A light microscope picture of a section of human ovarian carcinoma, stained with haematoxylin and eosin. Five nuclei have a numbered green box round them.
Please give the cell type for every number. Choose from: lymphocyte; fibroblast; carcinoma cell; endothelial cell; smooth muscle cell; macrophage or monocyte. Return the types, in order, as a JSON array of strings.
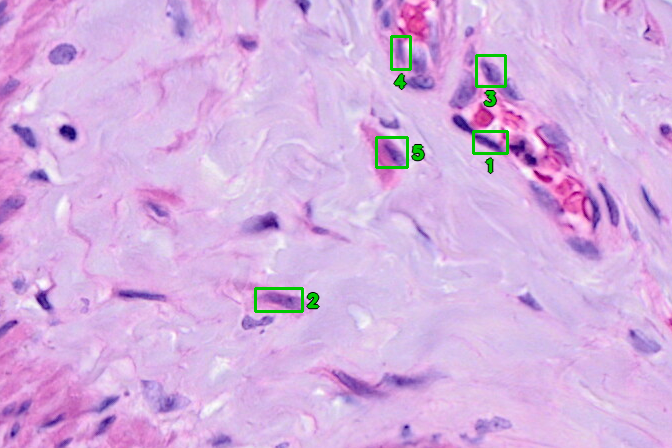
["endothelial cell", "smooth muscle cell", "endothelial cell", "endothelial cell", "smooth muscle cell"]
